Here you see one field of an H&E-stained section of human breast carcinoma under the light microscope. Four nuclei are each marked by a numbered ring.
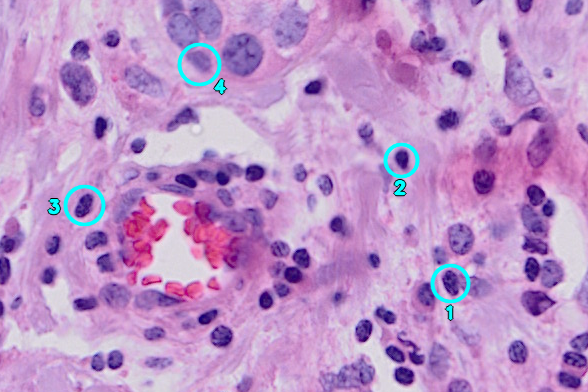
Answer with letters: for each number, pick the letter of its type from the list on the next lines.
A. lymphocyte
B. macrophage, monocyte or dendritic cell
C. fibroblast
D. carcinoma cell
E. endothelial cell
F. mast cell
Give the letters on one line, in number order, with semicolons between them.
A; A; A; D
